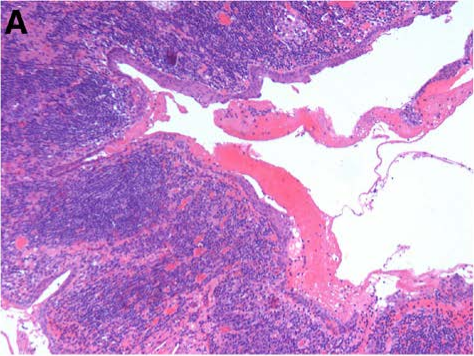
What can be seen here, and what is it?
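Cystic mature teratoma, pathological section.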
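Large, densely packed aggregates of small round lymphoid cells with dark purple nuclei and scant cytoplasm occupy most of the field. The aggregates lie on both sides of an irregular, cleft-like empty space. Bands of pink, homogeneous eosinophilic material line parts of this space and separate the cellular aggregates from it. Thin pink fibrous strands cross the space between the two sides.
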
